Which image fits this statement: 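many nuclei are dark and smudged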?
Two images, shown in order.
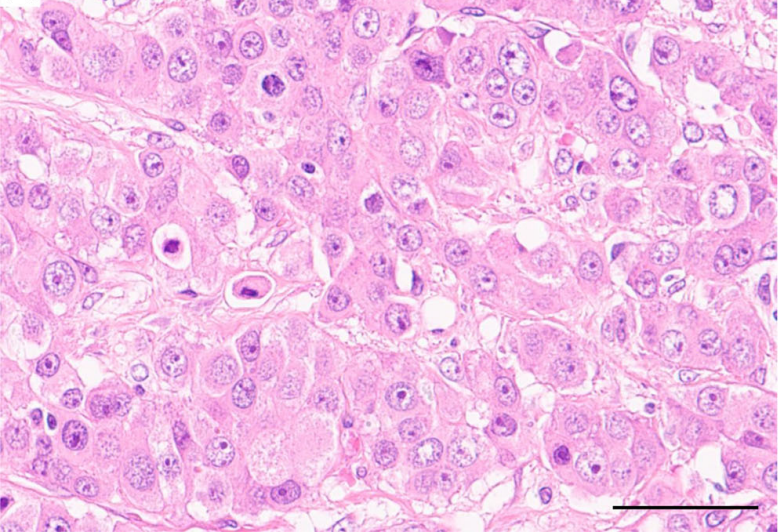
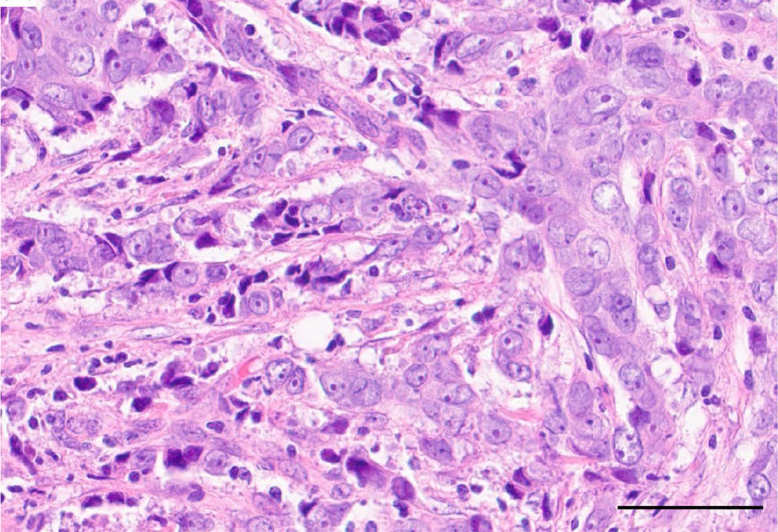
the second image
